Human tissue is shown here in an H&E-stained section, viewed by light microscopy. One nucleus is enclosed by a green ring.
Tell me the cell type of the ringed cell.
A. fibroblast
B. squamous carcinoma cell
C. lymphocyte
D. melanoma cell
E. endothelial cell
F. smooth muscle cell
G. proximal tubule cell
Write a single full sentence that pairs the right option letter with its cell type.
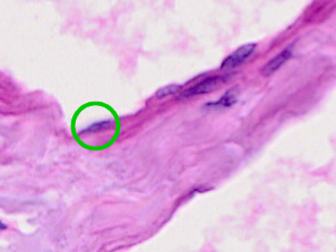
The right pick is option E; the ringed cell is an endothelial cell.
